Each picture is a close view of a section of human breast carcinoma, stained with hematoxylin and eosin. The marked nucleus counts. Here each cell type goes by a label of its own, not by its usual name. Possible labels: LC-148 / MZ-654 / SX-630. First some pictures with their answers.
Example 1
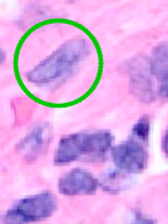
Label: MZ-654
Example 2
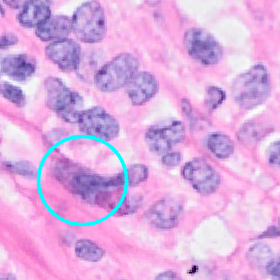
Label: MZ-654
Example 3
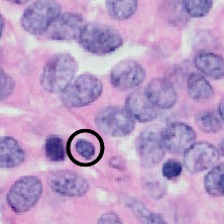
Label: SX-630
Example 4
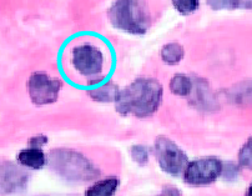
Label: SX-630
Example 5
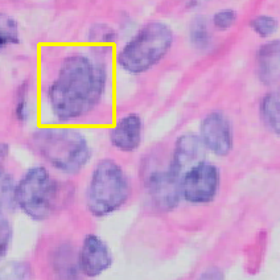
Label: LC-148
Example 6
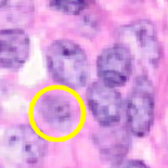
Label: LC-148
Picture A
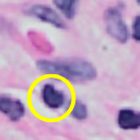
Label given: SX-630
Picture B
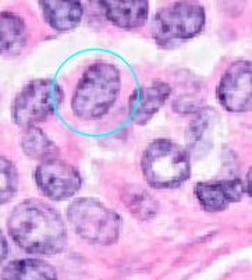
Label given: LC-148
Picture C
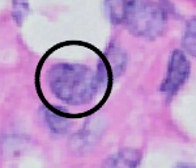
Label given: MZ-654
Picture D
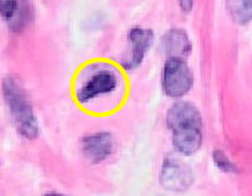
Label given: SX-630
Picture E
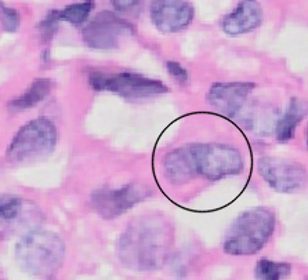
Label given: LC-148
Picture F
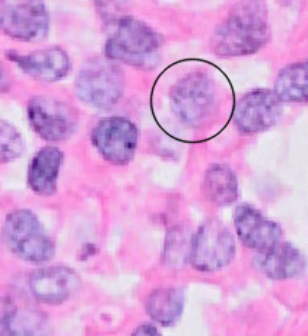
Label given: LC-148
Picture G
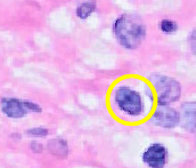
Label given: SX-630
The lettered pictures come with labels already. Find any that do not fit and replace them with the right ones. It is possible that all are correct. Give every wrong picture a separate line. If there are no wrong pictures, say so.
C should be LC-148, not MZ-654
